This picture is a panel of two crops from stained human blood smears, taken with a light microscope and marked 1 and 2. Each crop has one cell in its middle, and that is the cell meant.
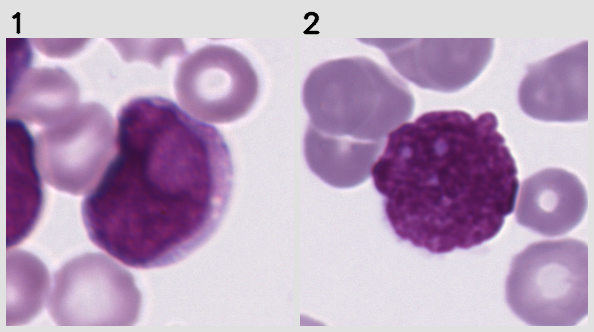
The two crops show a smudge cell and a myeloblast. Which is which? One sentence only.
Crop 1 is a myeloblast, while a smudge cell is the cell in crop 2.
